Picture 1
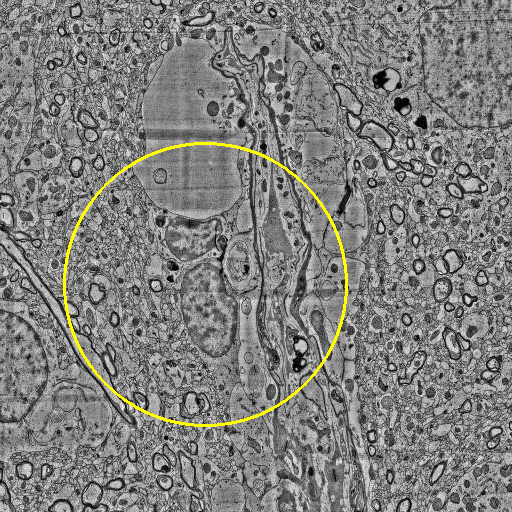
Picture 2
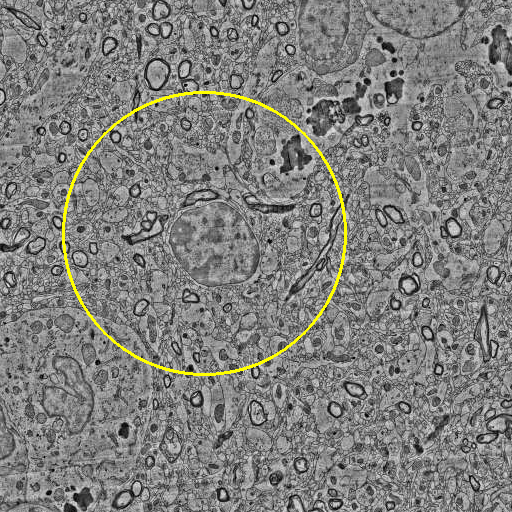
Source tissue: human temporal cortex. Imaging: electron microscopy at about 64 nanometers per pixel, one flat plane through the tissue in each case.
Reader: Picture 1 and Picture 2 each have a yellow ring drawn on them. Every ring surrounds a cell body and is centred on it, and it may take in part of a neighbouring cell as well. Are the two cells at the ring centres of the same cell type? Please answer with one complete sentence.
No, the cells are of two cell types.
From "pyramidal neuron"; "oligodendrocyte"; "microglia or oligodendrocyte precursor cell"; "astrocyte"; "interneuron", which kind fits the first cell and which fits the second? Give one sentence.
The cell marked in the first picture is an oligodendrocyte, and the one marked in the second is a microglial cell or oligodendrocyte precursor cell.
